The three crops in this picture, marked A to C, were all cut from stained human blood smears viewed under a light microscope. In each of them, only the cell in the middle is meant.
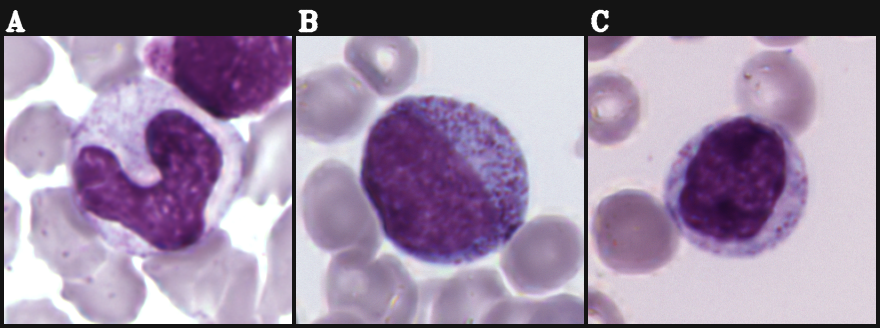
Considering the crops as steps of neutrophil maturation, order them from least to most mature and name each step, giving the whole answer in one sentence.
Sequenced by maturity from least to most, the crops are crop B (a promyelocyte), crop C (a metamyelocyte) and crop A (a band neutrophil).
